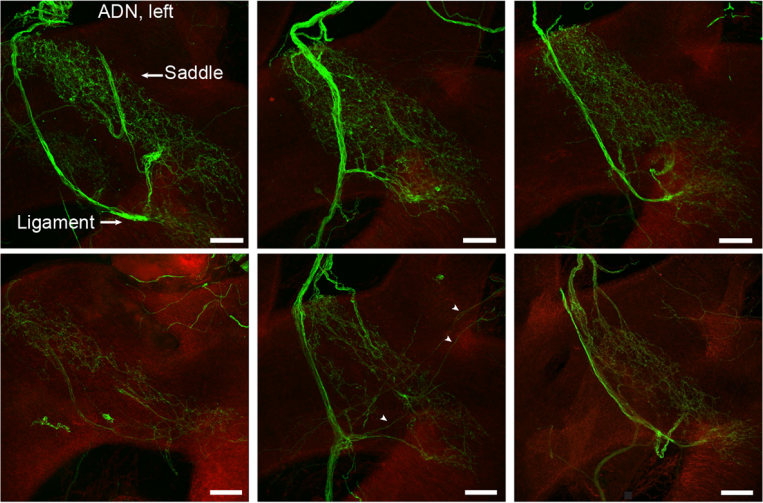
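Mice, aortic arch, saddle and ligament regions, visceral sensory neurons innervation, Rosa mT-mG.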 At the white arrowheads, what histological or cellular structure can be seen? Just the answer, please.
Axons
